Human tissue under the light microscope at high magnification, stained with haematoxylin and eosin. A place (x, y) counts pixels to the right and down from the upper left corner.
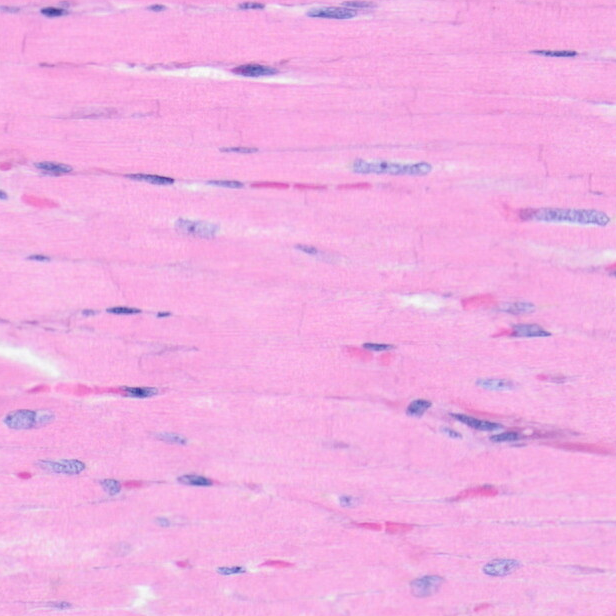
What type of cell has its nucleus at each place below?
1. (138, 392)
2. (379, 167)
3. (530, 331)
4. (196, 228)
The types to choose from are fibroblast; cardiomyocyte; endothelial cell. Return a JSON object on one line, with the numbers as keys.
{"1": "endothelial cell", "2": "cardiomyocyte", "3": "endothelial cell", "4": "cardiomyocyte"}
